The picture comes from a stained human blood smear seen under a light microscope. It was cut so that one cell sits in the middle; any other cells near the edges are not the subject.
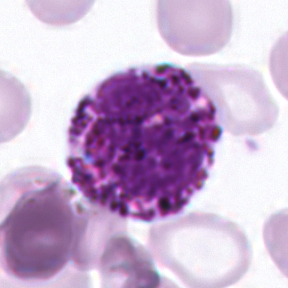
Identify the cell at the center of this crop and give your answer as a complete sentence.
The cell shown in the center of this light-microscope crop is a basophil.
